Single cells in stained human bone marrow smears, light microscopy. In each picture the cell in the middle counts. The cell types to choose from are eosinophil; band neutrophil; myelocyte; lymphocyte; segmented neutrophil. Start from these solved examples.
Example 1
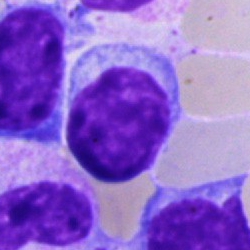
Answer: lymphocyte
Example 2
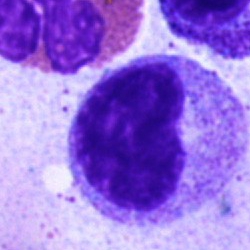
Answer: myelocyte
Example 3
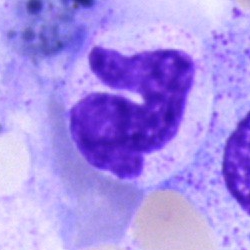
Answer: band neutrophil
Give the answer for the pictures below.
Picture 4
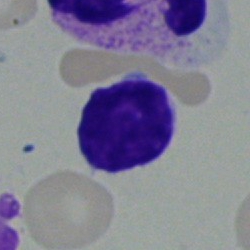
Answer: lymphocyte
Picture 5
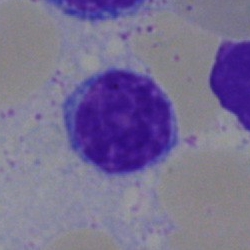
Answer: lymphocyte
